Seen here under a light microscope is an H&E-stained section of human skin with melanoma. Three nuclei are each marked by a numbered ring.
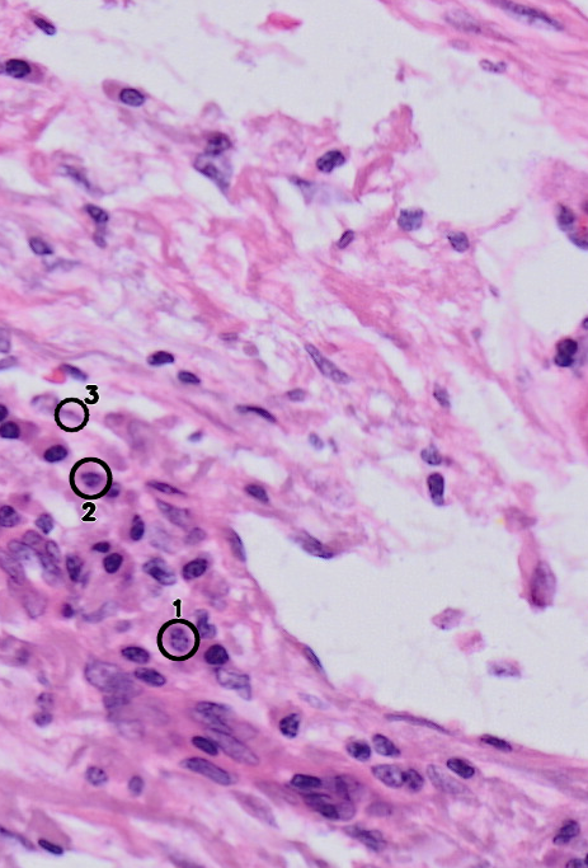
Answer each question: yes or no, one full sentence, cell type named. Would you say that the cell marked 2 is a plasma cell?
Yes, cell number 2 in this section is a plasma cell.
